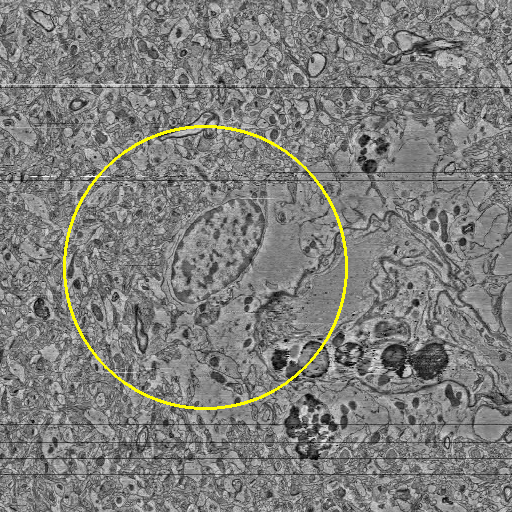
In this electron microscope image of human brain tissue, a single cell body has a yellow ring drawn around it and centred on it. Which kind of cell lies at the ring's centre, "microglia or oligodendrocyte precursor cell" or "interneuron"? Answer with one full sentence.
It is a microglial cell or oligodendrocyte precursor cell whose cell body lies at the centre of the yellow ring here.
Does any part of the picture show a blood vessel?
Yes, a vessel shows somewhere in the image.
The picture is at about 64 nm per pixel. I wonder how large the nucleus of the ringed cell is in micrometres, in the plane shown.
In this plane the nucleus is clearly longer than it is wide: roughly 8 by 5 micrometres.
